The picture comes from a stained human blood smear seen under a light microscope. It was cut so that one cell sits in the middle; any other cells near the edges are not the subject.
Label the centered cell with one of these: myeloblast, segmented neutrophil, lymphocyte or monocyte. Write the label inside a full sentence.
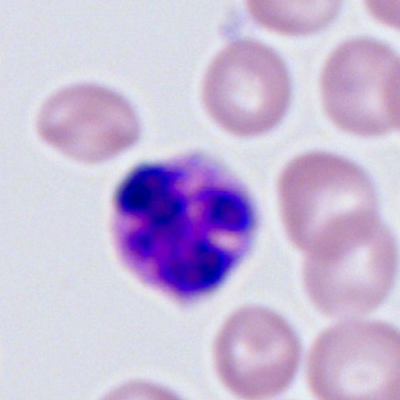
What the crop centres on is a segmented neutrophil.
